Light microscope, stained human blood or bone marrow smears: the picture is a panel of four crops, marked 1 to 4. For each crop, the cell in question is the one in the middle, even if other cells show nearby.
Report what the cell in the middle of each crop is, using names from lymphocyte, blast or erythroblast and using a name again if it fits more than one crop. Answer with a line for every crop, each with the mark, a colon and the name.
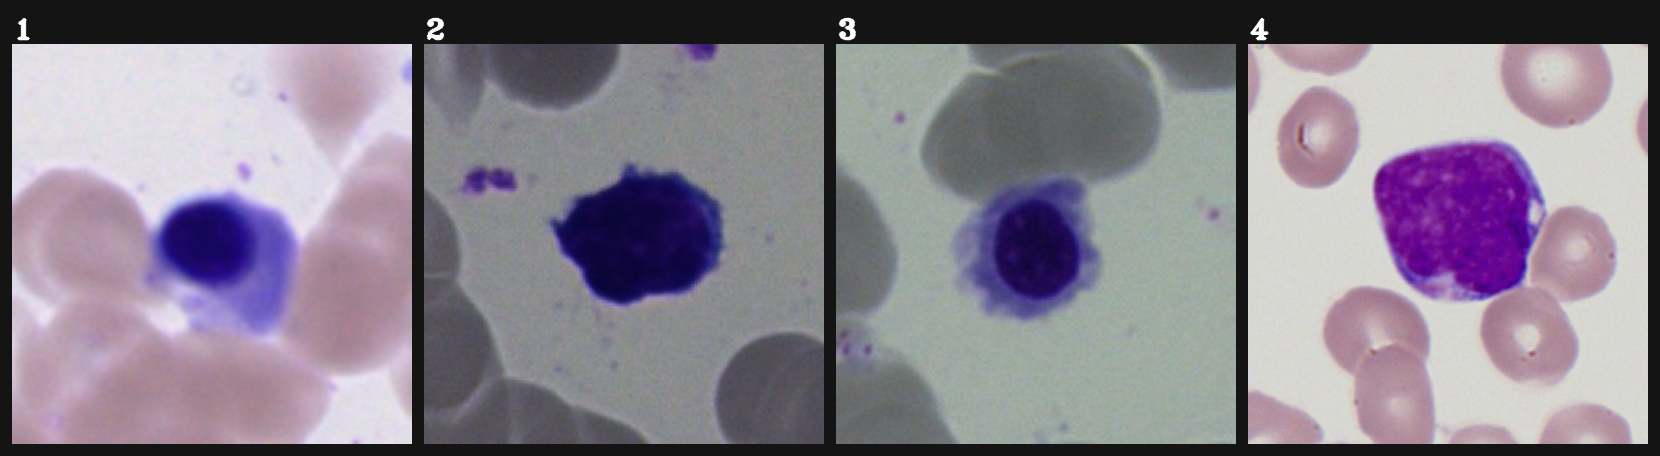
1: erythroblast
2: lymphocyte
3: erythroblast
4: blast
